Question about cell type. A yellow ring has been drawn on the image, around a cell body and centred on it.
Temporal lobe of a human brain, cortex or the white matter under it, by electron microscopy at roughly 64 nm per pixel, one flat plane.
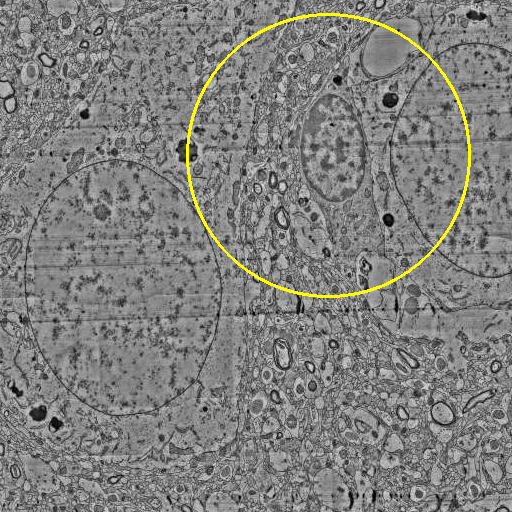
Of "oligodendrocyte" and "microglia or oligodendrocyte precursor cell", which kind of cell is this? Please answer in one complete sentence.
At the centre of the ring lies an oligodendrocyte.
